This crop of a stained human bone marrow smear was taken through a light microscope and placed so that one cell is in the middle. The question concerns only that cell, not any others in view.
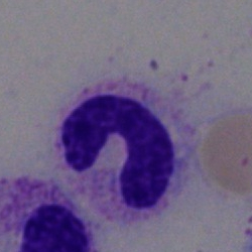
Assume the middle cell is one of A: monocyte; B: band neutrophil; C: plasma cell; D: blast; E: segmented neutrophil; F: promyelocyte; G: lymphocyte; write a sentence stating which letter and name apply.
Option B is the keyed answer: the cell in the middle is a band neutrophil.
